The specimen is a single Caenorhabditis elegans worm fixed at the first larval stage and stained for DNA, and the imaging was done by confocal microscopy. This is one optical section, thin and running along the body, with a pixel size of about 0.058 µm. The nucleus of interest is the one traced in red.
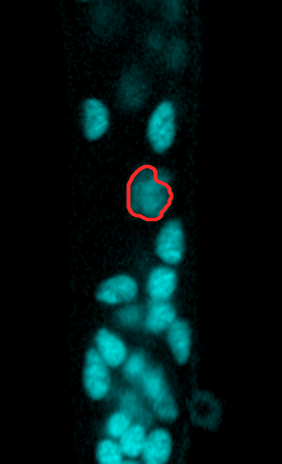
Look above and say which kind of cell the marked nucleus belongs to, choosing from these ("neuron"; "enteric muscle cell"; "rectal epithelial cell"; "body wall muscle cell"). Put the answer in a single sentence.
What is marked is the nucleus of an enteric muscle cell.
